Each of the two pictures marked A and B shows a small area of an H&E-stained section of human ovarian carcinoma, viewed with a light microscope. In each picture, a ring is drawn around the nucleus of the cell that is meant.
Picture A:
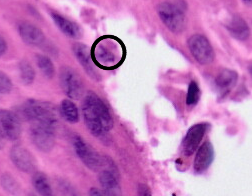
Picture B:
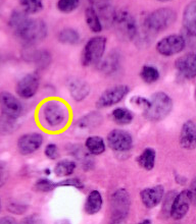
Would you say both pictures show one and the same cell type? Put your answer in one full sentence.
Yes; the cells in both pictures are “macrophages or monocytes”.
